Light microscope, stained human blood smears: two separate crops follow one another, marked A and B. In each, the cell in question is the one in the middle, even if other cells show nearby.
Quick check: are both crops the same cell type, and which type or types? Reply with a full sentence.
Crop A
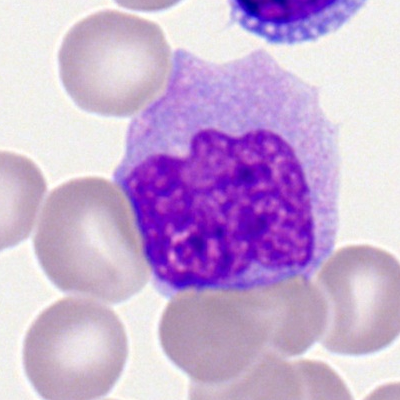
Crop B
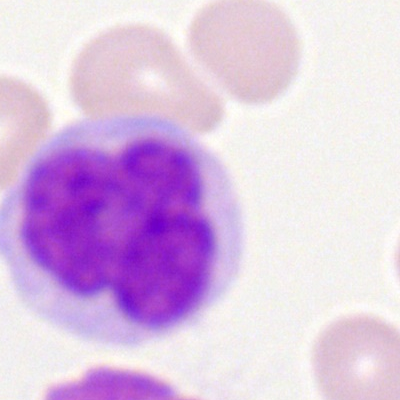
Yes, the cells that both crops show at the centre are monocytes.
